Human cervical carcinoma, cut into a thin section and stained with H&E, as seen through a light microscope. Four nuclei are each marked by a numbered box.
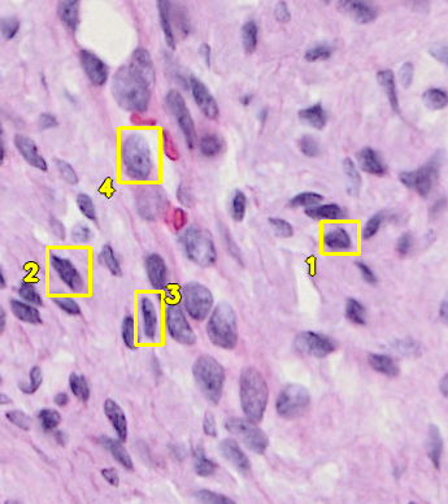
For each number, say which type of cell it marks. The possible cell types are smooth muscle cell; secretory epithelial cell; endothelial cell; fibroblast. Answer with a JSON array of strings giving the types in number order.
["fibroblast", "fibroblast", "fibroblast", "endothelial cell"]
